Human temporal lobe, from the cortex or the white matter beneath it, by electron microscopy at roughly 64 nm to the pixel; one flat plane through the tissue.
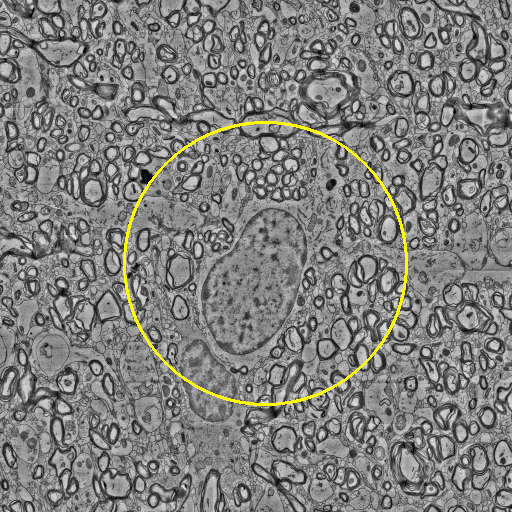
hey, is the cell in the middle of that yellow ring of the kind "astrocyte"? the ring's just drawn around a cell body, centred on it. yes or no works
no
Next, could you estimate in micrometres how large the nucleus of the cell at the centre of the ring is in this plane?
In this plane the nucleus is clearly longer than it is wide, at approximately 10 by 6 micrometres.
